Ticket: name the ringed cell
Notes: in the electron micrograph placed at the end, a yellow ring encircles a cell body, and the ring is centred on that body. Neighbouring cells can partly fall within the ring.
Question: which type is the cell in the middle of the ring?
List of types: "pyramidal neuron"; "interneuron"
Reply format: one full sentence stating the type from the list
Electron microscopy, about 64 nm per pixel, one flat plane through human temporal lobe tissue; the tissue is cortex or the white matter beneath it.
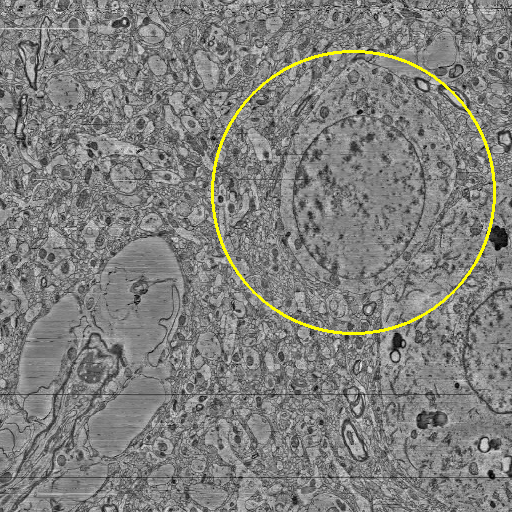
The cell sitting at the centre of the yellow ring is a pyramidal neuron.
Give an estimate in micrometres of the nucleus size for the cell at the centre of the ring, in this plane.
Approximately 11 micrometres long and 8 micrometres wide, in this plane.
